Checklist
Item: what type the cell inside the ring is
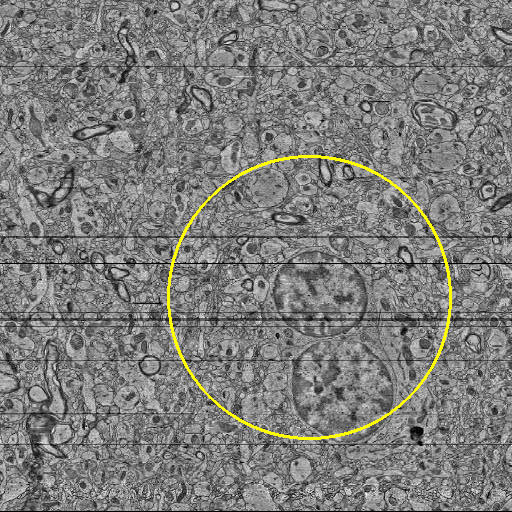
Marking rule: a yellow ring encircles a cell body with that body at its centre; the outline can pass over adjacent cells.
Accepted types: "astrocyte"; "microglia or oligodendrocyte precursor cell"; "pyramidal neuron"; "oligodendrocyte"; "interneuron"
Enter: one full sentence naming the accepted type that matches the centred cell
The entry is that an oligodendrocyte lies at the centre of the yellow ring.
